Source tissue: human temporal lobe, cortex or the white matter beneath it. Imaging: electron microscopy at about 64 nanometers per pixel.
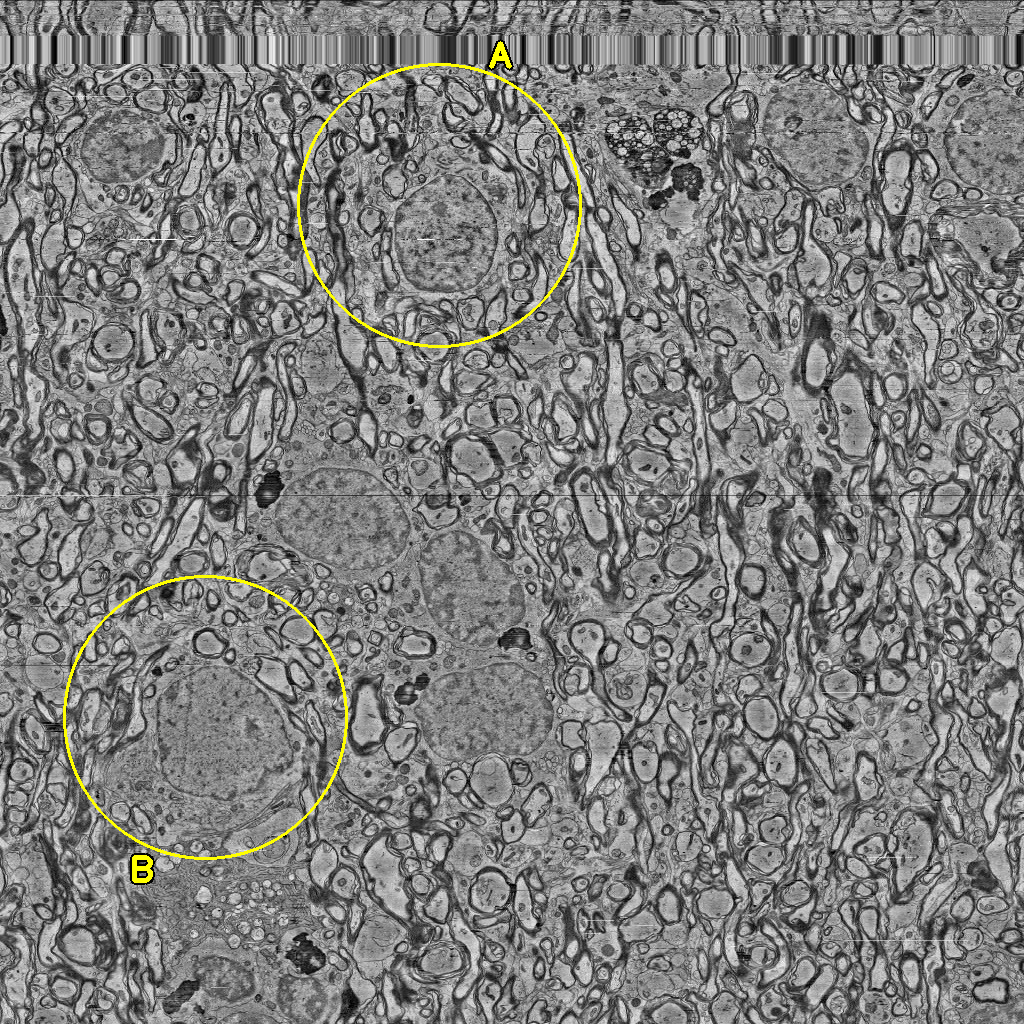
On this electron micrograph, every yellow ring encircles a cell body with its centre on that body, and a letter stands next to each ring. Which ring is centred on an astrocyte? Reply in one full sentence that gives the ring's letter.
Ring B is the ring that has the cell asked for in its centre.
